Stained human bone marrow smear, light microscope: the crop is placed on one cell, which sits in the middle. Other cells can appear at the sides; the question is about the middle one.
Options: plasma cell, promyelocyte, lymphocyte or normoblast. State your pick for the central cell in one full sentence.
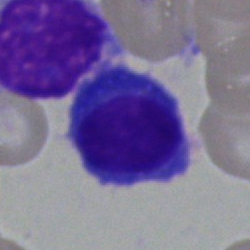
The cell centred in this crop is categorized as a plasma cell.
